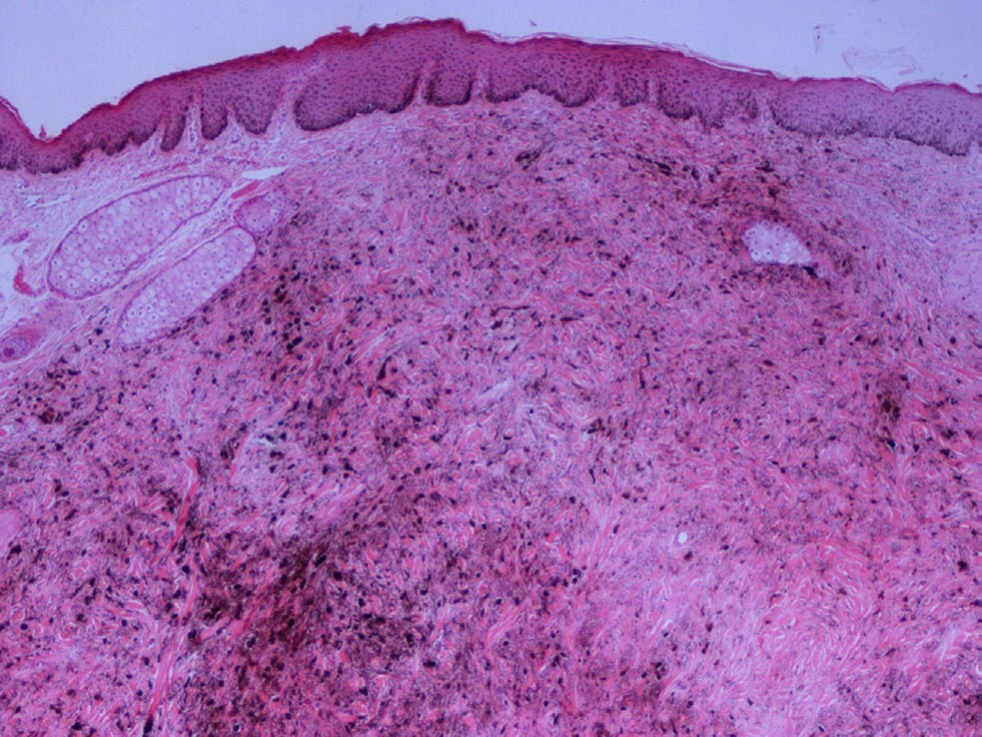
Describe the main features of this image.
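This is skin whose dermis is filled by a proliferation of pigmented melanocytes lying among collagen fibres. The amount of pigment varies from place to place, with denser dark zones lower in the field. The infiltrate extends from just below the epidermis down into the deeper dermis. At the upper left, pale lobules of sebaceous gland are seen.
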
